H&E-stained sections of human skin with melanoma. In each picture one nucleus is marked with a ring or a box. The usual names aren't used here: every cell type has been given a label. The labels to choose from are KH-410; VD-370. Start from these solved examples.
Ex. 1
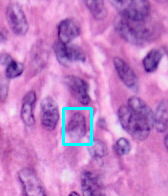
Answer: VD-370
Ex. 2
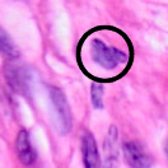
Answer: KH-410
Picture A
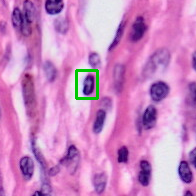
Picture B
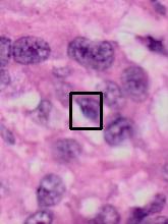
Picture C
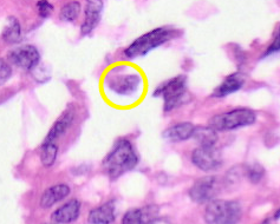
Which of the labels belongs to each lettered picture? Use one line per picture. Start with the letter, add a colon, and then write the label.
A: KH-410
B: VD-370
C: VD-370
